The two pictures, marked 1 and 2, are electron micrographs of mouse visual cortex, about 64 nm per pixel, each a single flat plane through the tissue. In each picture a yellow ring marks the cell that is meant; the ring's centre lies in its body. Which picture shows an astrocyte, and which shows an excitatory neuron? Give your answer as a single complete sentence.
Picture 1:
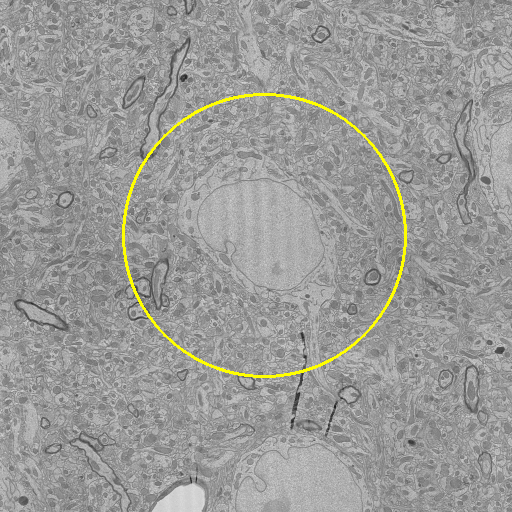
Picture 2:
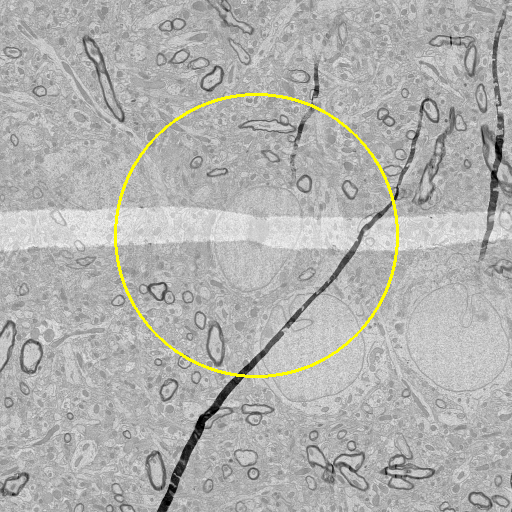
In picture 1 the cell is an excitatory neuron; in picture 2, an astrocyte.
